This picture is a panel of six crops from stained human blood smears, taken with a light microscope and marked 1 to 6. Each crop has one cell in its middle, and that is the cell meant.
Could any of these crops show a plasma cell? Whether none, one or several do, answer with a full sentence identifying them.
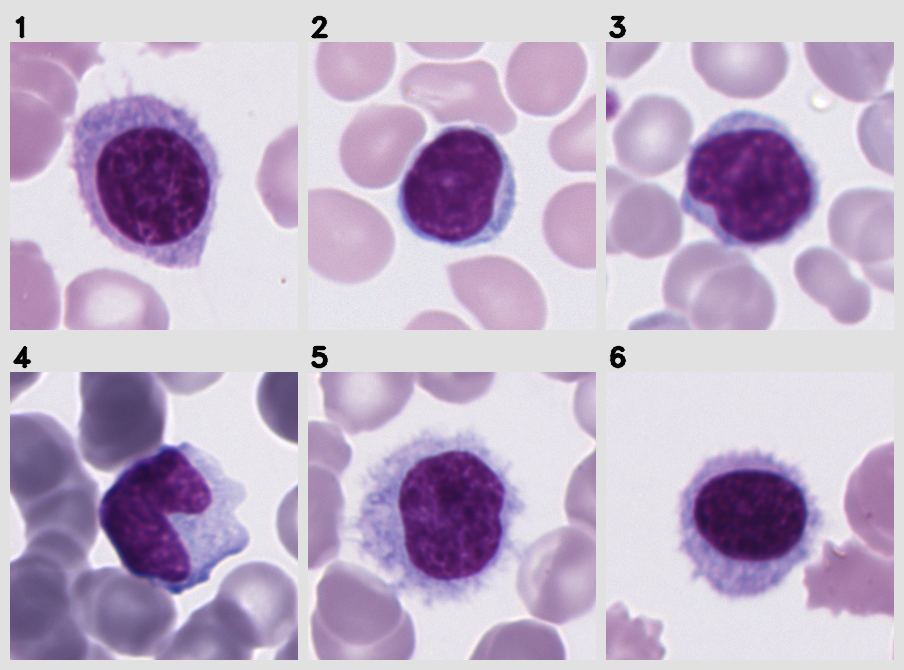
In none of these crops can a plasma cell be found.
